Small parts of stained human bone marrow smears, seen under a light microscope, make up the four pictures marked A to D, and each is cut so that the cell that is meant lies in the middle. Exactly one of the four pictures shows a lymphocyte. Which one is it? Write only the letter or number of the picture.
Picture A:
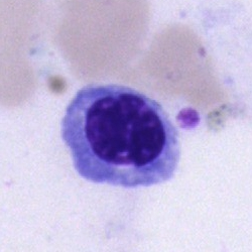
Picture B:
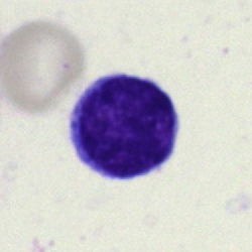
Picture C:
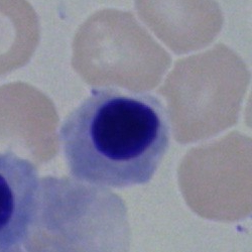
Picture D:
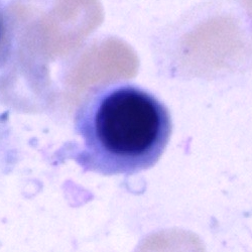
B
